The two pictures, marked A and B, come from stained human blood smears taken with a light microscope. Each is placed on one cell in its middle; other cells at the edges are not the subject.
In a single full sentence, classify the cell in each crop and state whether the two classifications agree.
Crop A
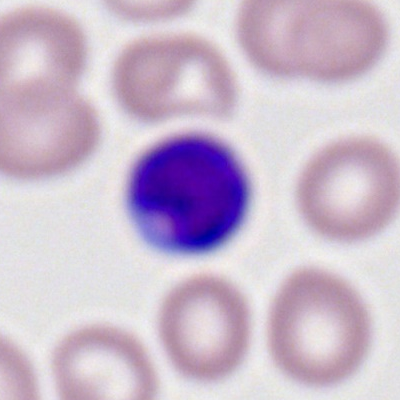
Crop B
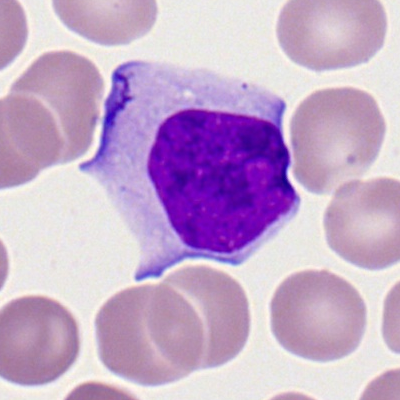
Yes, the central cells of both crops are lymphocytes.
